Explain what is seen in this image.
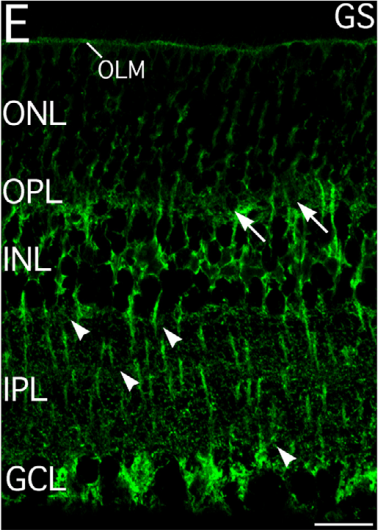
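Green fluorescent radial fibres cross the retina from a thin continuous line at the outer limiting membrane down to the ganglion cell layer. In the nuclear layers the fibres form a meshwork that outlines round dark spaces where nuclei sit, and they run as slender vertical shafts through the inner plexiform layer. At the inner surface they broaden into bright conical endfeet between dark cell bodies. This radial scaffold spanning the full retinal thickness is the pattern of Müller glial cells.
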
